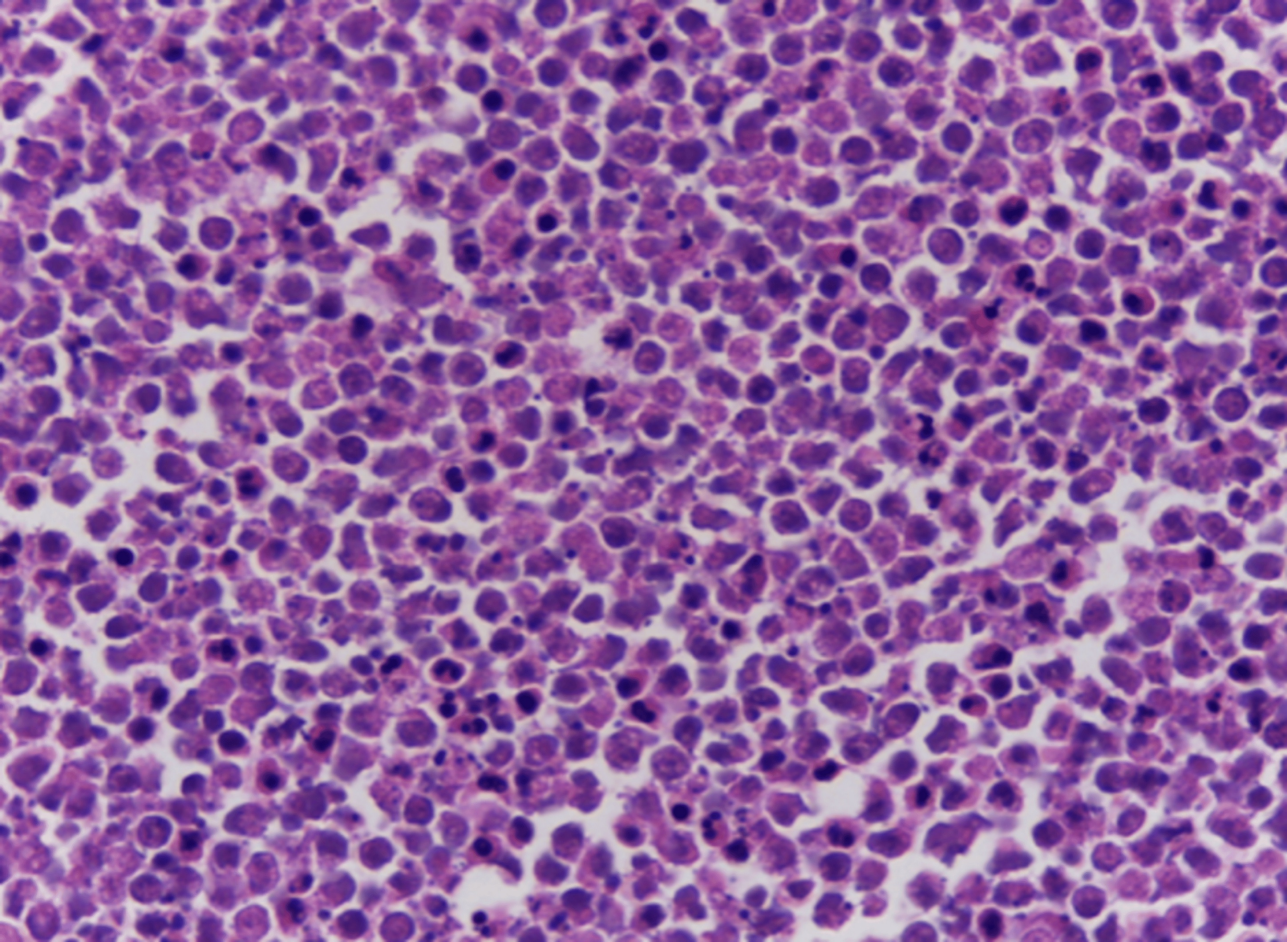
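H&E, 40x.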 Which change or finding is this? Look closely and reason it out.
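Apoptotic changes. Many cells have small, very dark, condensed nuclei. Small dark nuclear fragments lie scattered between the cells.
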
